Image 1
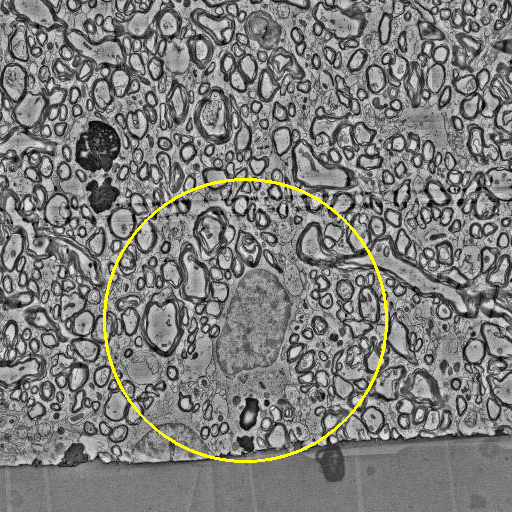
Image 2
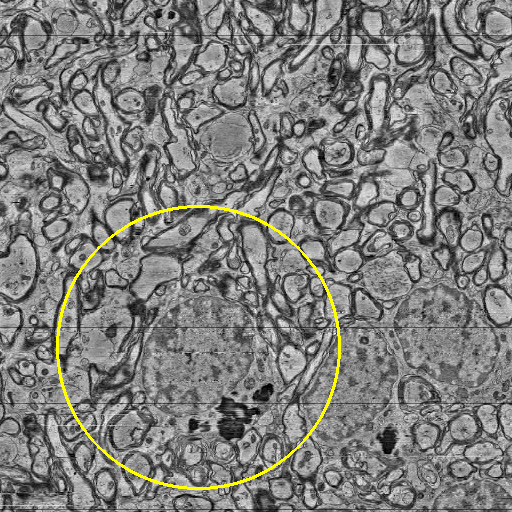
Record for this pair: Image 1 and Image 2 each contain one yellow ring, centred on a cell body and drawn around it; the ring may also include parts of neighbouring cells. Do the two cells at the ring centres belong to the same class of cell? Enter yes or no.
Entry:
yes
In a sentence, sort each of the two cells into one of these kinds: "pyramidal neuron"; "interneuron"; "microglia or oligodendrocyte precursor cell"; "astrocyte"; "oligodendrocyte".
The first and the second cell are each an oligodendrocyte.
